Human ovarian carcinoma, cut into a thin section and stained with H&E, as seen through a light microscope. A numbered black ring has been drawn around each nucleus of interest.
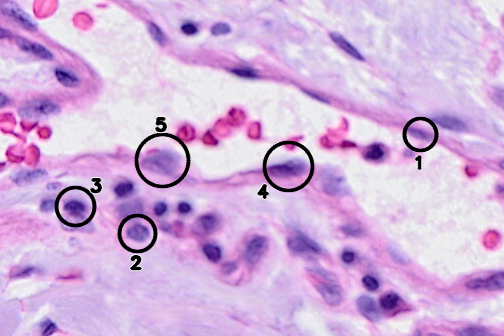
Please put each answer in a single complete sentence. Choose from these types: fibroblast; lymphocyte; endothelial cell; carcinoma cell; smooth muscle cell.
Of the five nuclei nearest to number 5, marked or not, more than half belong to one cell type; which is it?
Lymphocytes make up most of the five nuclei closest to number 5.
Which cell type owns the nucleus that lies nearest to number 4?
It is an endothelial cell whose nucleus is nearest to number 4.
